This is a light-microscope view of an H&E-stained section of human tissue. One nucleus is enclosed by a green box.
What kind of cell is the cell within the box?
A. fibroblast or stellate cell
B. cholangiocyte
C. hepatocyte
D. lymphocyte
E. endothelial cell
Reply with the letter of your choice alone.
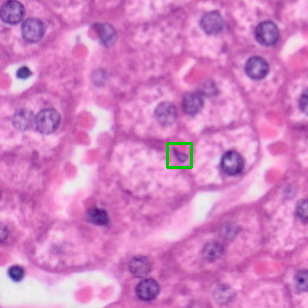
E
